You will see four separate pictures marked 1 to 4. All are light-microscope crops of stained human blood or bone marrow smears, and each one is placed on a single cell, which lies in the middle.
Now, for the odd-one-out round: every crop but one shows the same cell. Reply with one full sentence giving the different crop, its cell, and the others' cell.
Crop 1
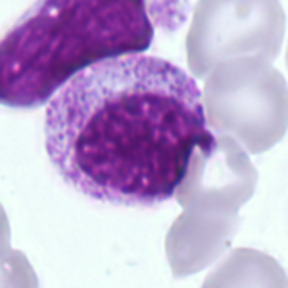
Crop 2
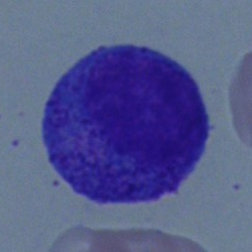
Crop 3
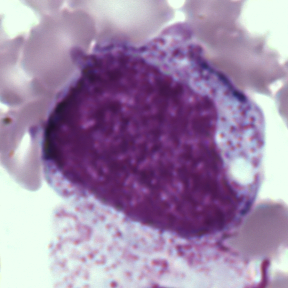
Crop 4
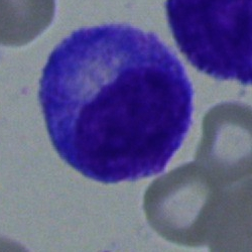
The pattern of myelocytes across the crops is broken only by crop 2, which shows a promyelocyte.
